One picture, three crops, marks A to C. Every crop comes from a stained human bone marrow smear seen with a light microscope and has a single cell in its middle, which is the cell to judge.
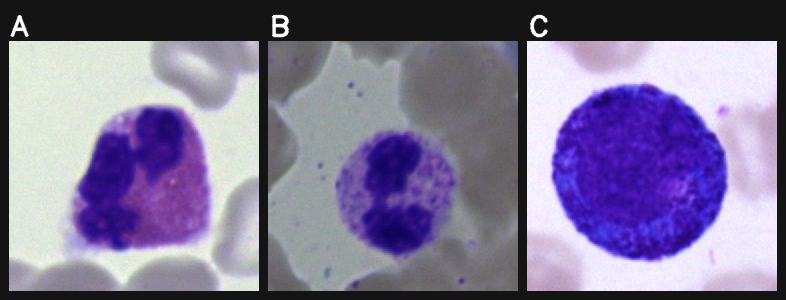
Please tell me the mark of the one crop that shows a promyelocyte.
C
